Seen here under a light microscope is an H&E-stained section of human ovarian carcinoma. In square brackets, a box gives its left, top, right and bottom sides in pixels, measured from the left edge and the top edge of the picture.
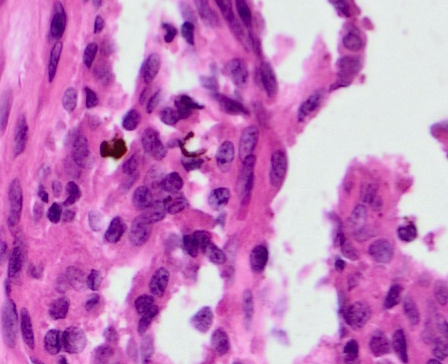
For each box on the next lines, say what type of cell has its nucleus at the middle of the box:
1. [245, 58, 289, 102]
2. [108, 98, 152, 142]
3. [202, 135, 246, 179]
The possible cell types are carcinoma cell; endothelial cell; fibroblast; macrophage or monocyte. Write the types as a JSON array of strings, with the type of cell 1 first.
["carcinoma cell", "carcinoma cell", "macrophage or monocyte"]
